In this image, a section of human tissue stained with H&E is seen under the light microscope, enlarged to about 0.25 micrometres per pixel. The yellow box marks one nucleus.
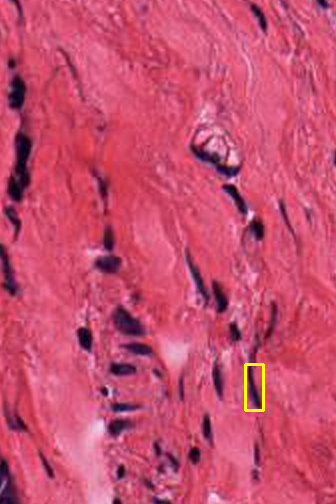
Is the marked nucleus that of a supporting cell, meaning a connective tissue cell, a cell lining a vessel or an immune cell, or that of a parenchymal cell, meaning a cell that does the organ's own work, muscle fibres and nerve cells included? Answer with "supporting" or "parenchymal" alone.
supporting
